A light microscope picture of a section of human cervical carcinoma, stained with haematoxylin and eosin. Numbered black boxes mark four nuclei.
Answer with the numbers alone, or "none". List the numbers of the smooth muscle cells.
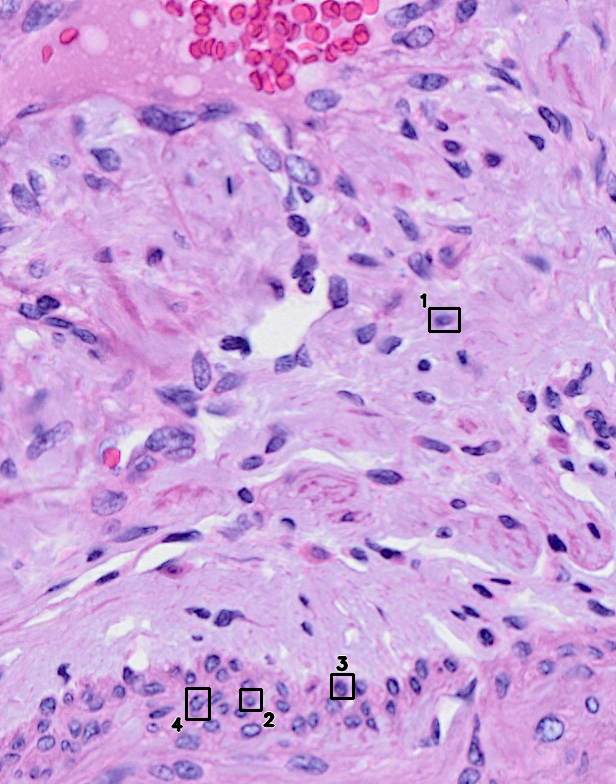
2, 3, 4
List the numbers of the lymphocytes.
none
